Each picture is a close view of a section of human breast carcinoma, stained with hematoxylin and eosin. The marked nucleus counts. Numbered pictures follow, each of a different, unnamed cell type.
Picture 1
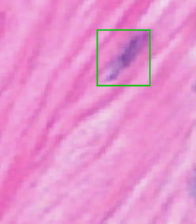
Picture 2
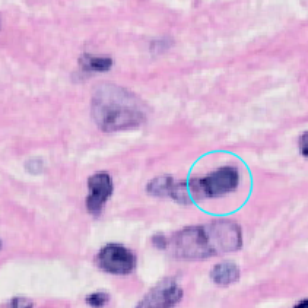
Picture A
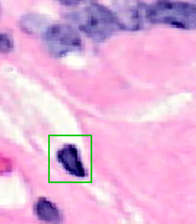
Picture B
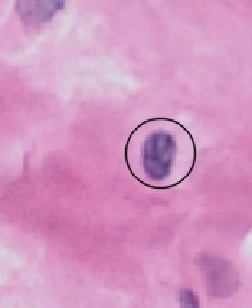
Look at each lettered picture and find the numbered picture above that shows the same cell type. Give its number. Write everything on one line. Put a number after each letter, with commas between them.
A 2, B 2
